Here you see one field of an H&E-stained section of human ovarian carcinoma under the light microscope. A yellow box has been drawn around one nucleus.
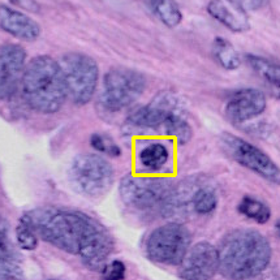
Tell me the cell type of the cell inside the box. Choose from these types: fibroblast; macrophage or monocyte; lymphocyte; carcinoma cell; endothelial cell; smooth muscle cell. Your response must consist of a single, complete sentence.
In this field of tissue, the cell inside the box is a lymphocyte.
